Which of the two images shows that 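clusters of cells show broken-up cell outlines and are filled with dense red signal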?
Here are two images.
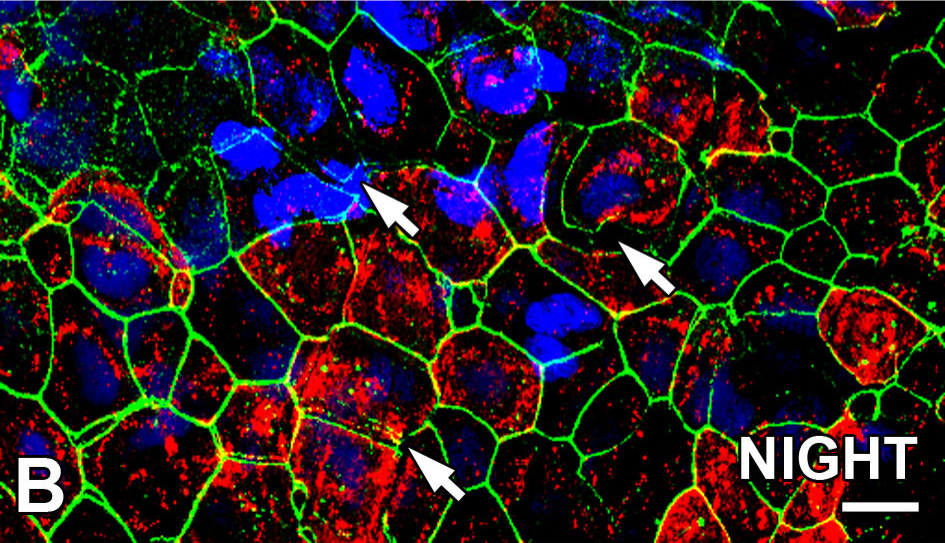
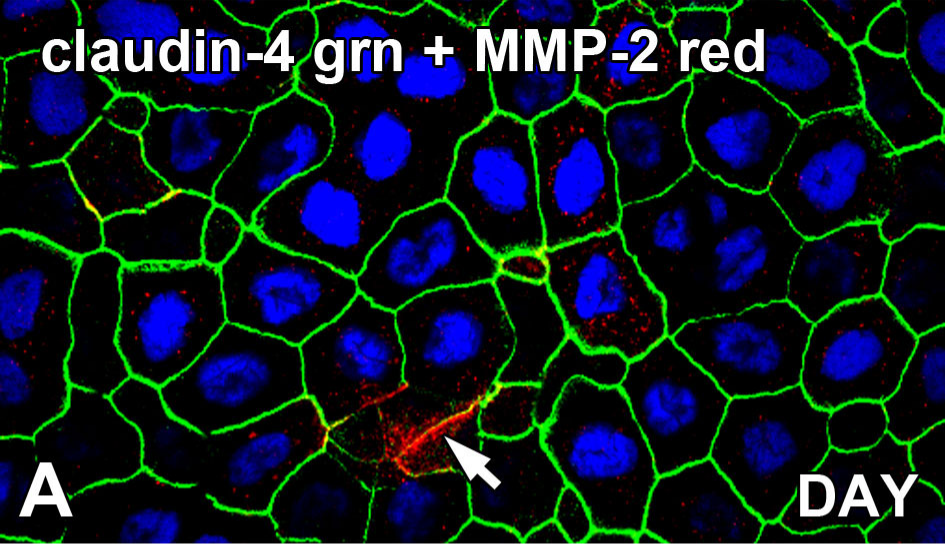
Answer: the first image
